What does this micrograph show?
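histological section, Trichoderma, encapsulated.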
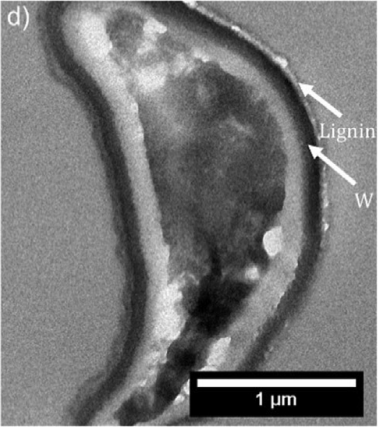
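Electron micrograph of a sectioned fungal spore, cut as an elongated, curved profile. A dense dark band forms the cell wall all around the outline, with a paler zone lying inside it. A thin, faint coating with small bright specks sits on the outer face of the wall. The interior is heterogeneous, with dark granular masses and pale patches.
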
